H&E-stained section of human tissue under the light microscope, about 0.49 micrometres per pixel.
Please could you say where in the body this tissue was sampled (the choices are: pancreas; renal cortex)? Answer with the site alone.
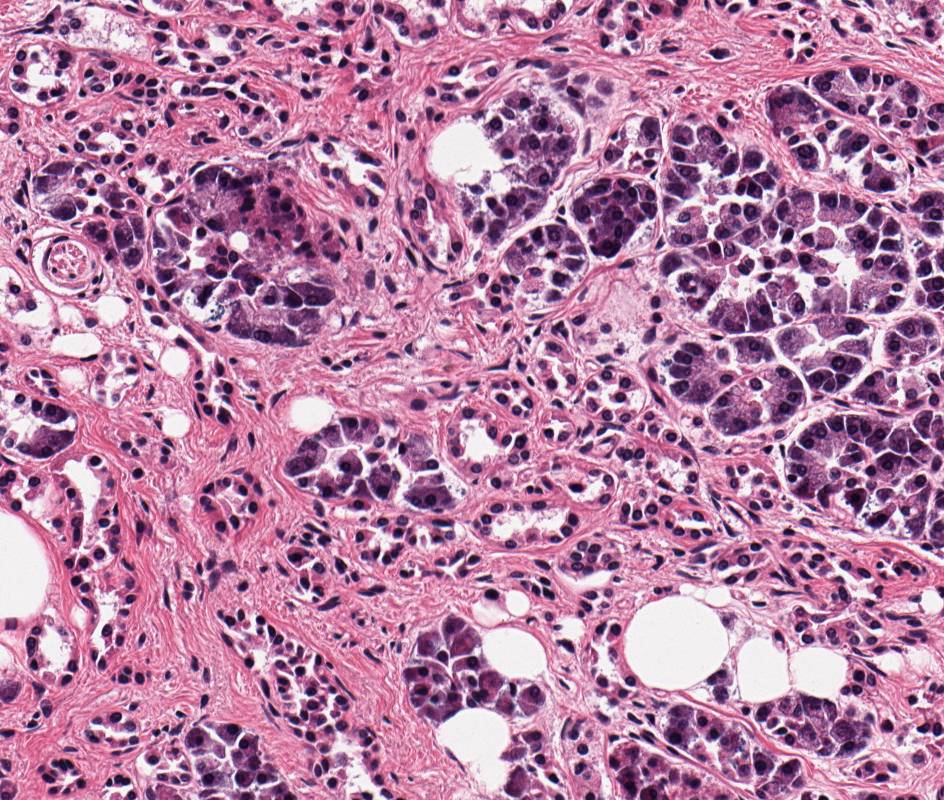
pancreas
